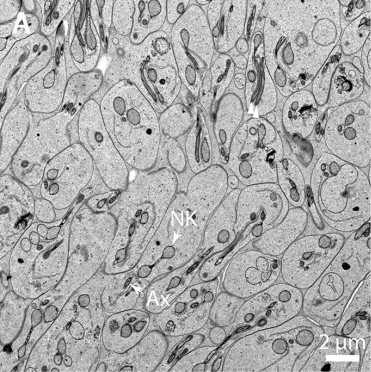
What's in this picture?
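The cells appear as closely packed rounded profiles with pale, finely granular cytoplasm separated by thin membranes. Many contain elongated or rounded dark membranous bodies, some with concentric or layered walls. Slender tail-like profiles with parallel lines run obliquely across the field, giving a loose common orientation.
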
